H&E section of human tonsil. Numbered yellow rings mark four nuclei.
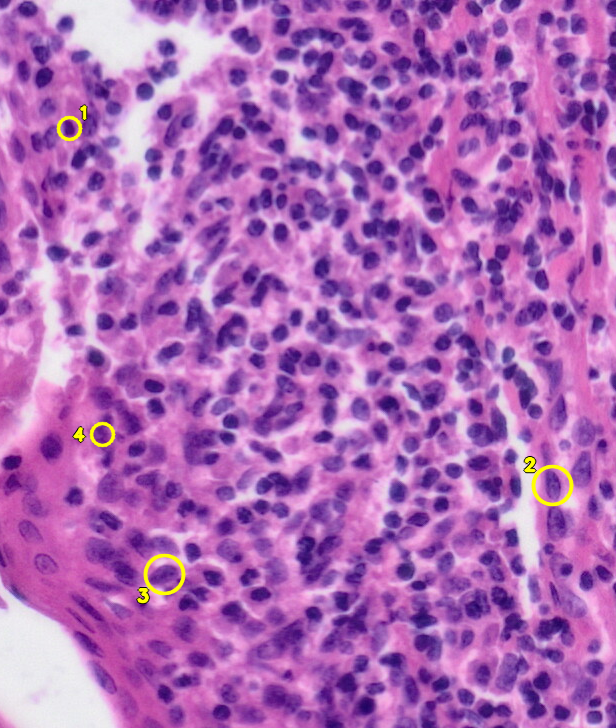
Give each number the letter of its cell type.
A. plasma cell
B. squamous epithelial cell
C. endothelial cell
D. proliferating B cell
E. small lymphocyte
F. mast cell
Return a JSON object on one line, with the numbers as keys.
{"1": "B", "2": "C", "3": "B", "4": "B"}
